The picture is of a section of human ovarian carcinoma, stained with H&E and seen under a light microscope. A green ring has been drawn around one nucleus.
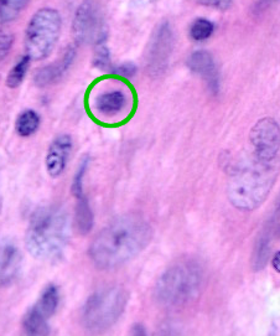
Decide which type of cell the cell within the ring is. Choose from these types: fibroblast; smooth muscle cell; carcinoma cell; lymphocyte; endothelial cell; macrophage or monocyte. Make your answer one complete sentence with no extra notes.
The correct response here is that the cell within the ring is a lymphocyte.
